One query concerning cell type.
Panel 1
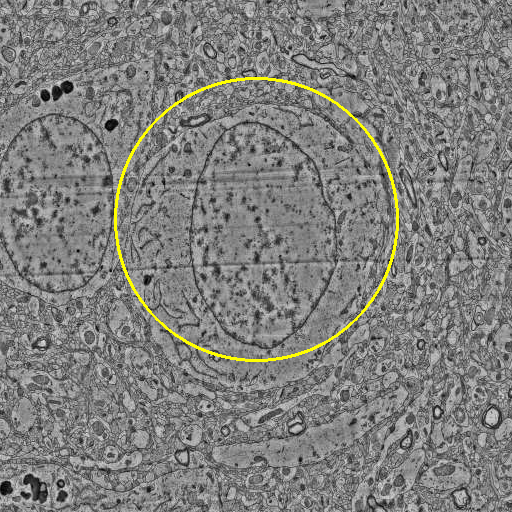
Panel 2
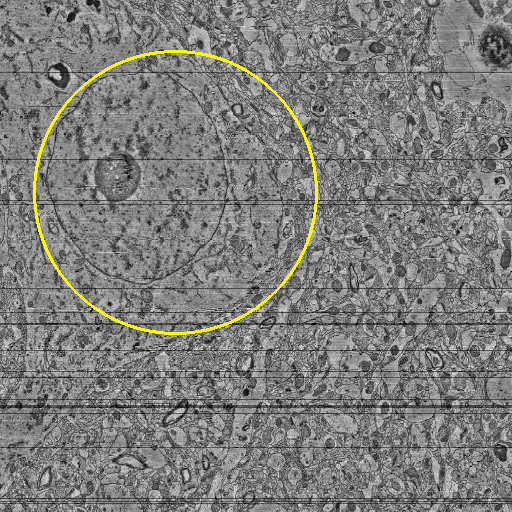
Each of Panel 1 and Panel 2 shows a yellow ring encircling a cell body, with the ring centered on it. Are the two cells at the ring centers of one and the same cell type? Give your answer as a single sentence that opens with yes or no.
Yes, the cell centered in Panel 1 and the one in Panel 2 share a type.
